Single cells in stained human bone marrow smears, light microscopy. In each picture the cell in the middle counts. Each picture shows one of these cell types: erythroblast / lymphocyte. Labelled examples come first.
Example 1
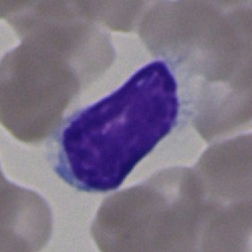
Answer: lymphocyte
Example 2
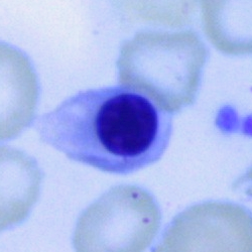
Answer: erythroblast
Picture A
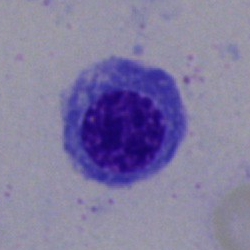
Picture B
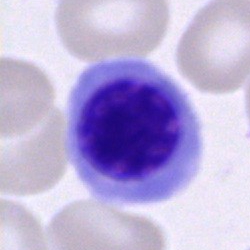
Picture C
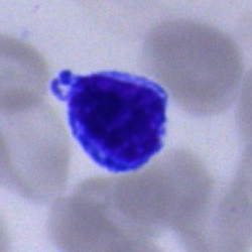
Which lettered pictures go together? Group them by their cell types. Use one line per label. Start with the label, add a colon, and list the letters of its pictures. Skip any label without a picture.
erythroblast: A, B
lymphocyte: C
